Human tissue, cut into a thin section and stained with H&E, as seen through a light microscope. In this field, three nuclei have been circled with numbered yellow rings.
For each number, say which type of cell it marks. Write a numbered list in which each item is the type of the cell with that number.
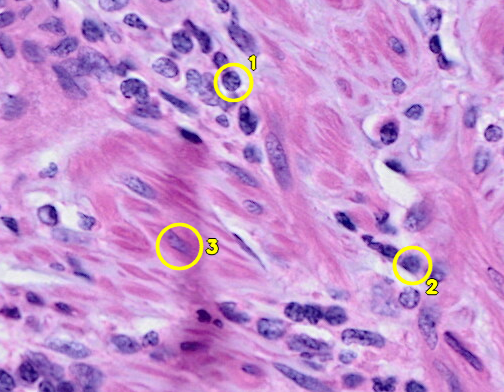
1. lymphocyte
2. lymphocyte
3. smooth muscle cell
